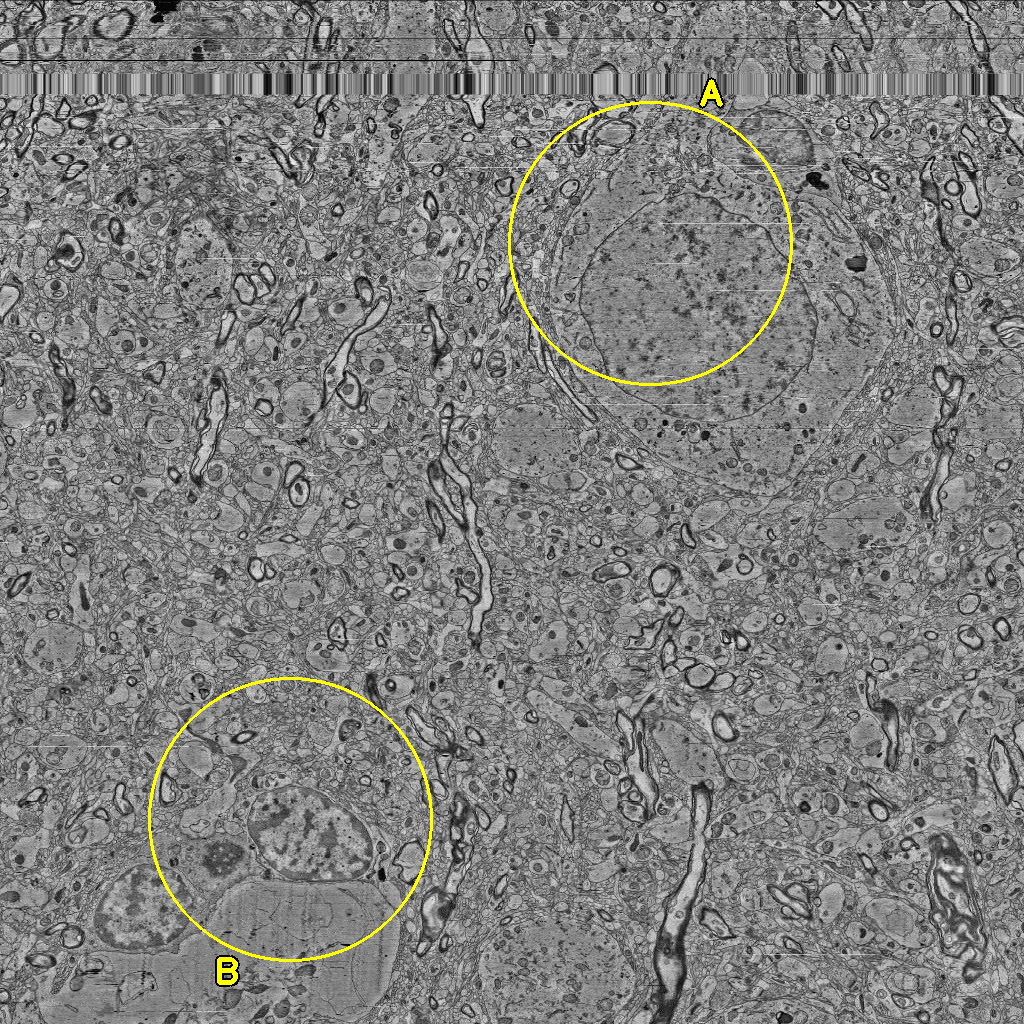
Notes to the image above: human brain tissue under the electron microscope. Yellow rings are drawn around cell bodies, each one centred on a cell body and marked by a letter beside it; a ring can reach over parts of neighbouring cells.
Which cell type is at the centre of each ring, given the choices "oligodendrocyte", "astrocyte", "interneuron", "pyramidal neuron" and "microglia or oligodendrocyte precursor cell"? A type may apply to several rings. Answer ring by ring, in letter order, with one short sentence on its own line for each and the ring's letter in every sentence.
Inside ring A, at its centre, is a pyramidal neuron.
Inside ring B, at its centre, is a microglial cell or oligodendrocyte precursor cell.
